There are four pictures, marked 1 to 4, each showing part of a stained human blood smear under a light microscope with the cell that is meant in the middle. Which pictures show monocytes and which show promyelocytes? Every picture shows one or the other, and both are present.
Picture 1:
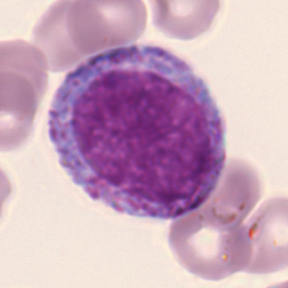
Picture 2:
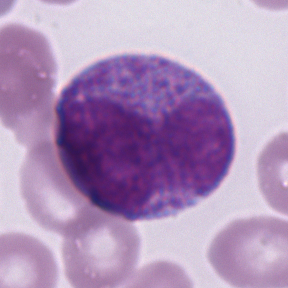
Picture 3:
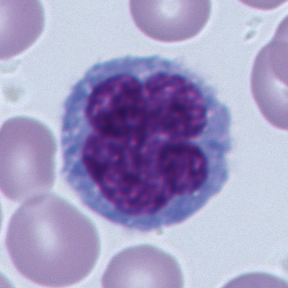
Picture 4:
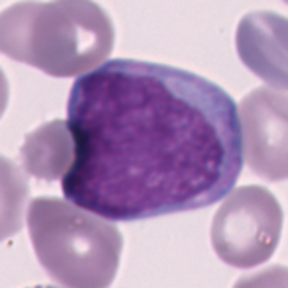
1: promyelocyte
2: promyelocyte
3: monocyte
4: promyelocyte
